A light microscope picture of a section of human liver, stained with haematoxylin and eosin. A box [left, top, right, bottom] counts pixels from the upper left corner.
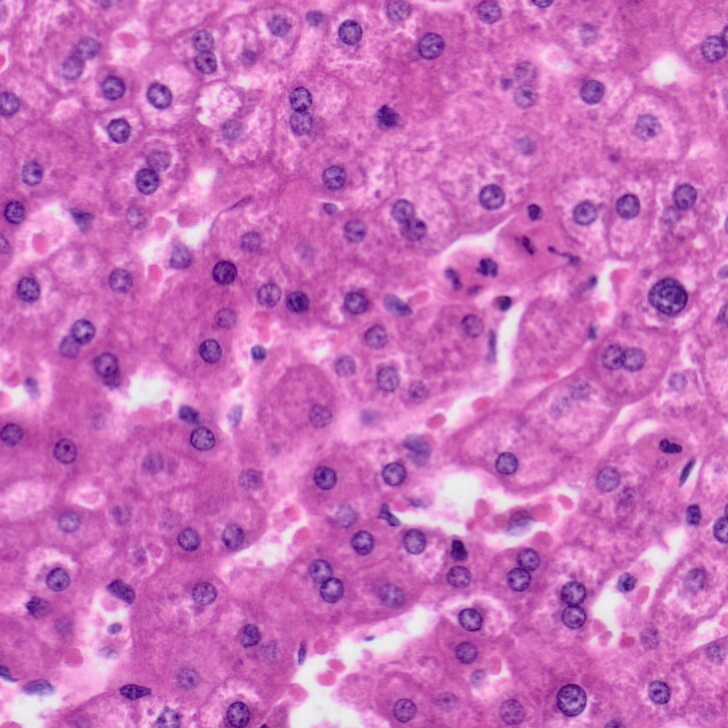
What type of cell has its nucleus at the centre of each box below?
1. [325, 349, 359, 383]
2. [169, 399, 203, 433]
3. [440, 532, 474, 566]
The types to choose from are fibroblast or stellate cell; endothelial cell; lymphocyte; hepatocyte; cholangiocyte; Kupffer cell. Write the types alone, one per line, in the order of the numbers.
hepatocyte
fibroblast or stellate cell
fibroblast or stellate cell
